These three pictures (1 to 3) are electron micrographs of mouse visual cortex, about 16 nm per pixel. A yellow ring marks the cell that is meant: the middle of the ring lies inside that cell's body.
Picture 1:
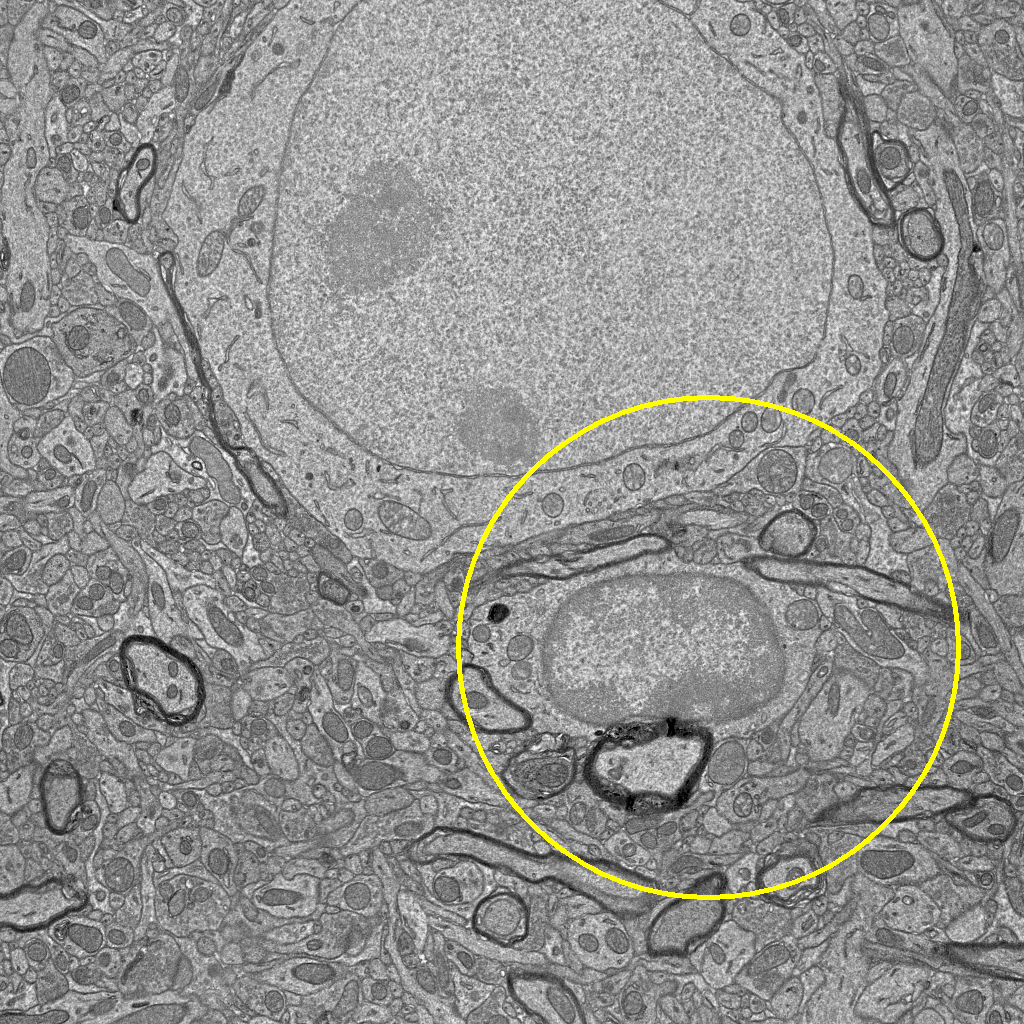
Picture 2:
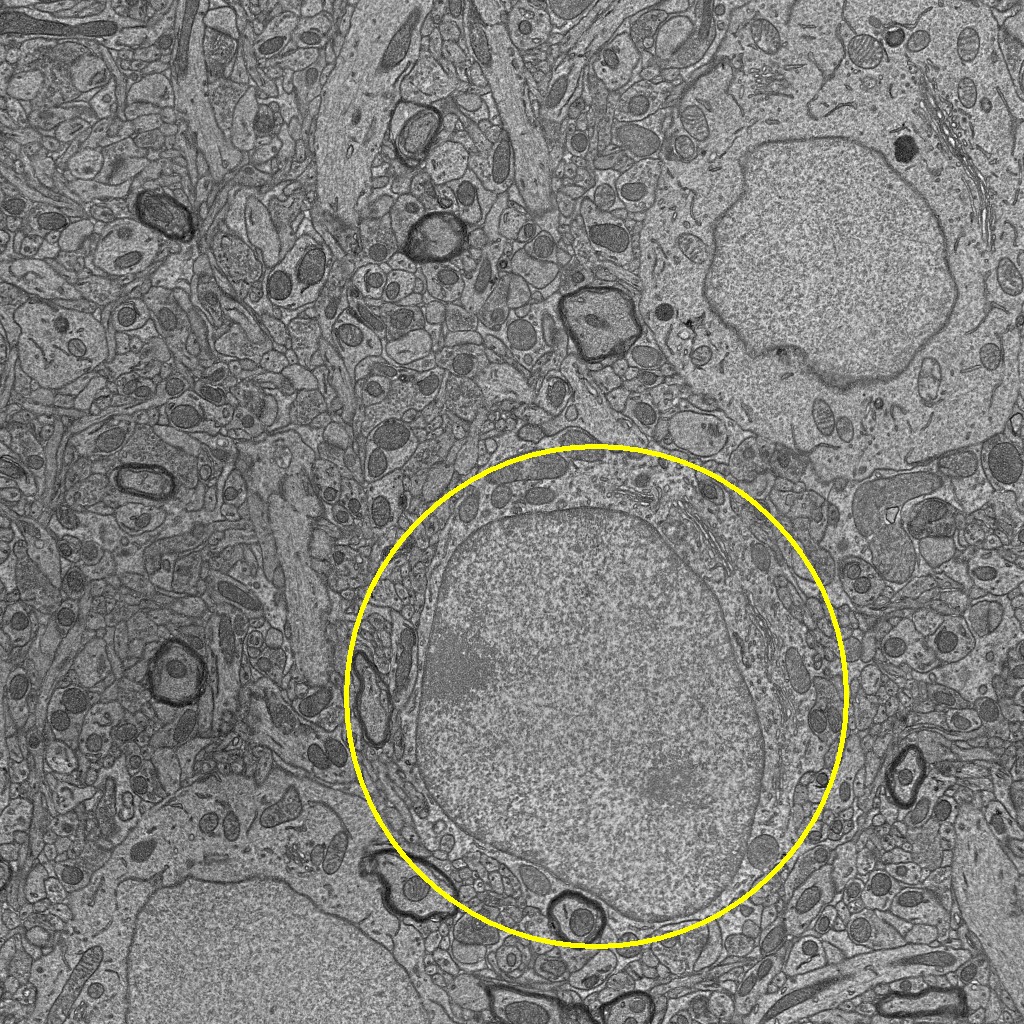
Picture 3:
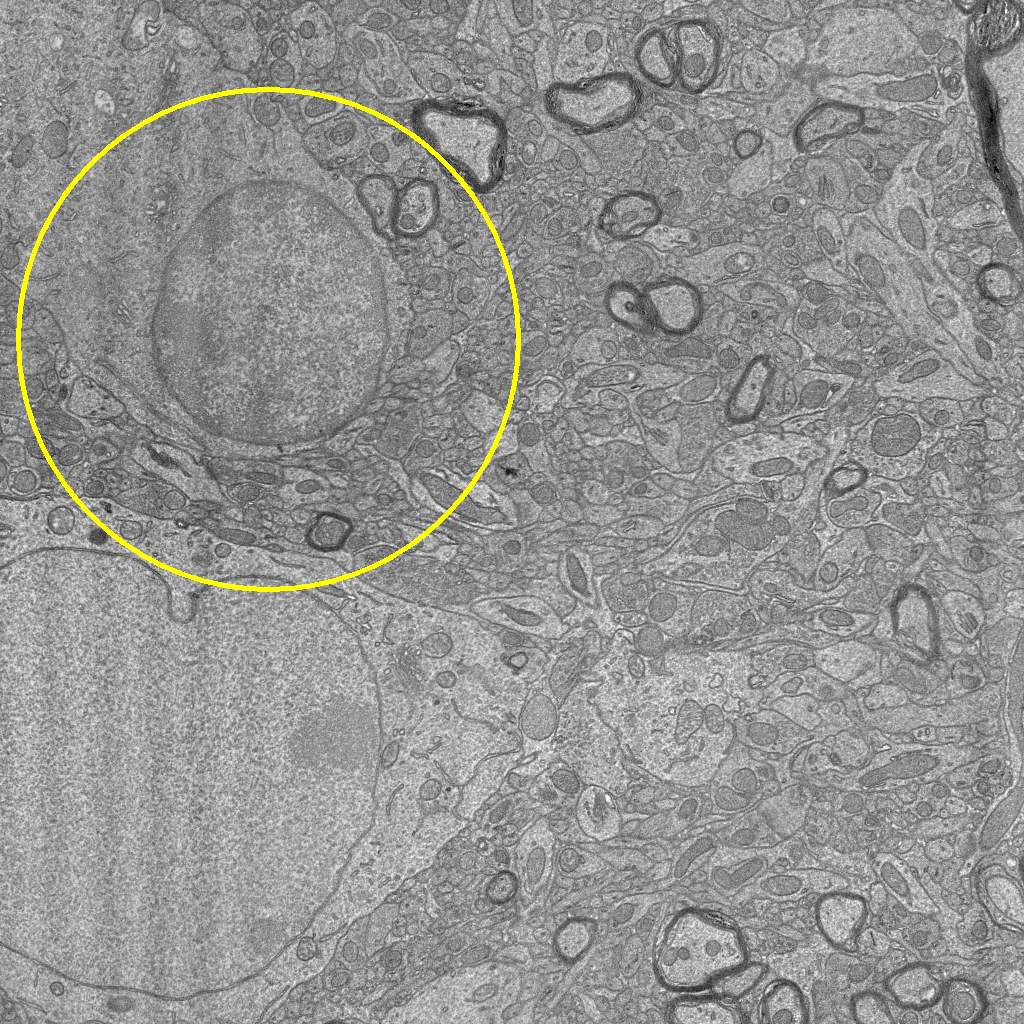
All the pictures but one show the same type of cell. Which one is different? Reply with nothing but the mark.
2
